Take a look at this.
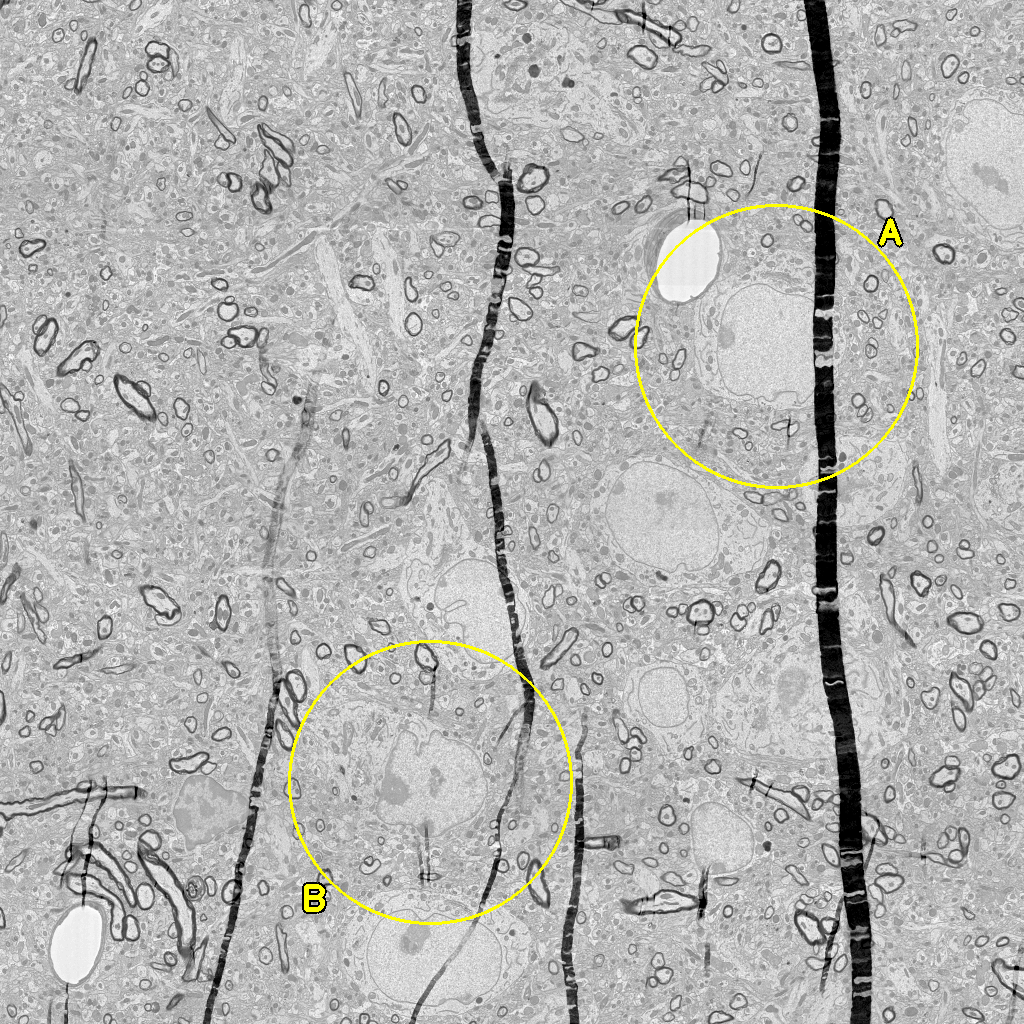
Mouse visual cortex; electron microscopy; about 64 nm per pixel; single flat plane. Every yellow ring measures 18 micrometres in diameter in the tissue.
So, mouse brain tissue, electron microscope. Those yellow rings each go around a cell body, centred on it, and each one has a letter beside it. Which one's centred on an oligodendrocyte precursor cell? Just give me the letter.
B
